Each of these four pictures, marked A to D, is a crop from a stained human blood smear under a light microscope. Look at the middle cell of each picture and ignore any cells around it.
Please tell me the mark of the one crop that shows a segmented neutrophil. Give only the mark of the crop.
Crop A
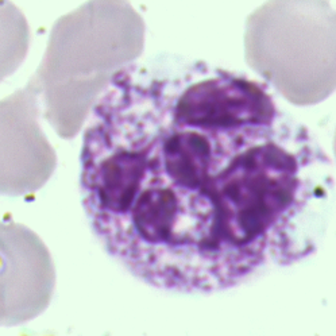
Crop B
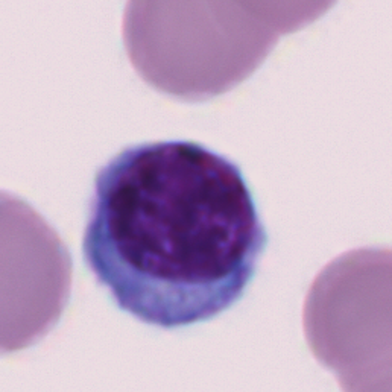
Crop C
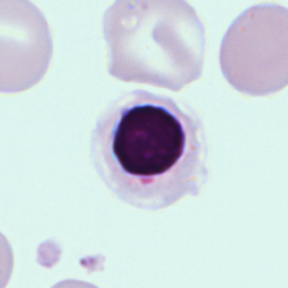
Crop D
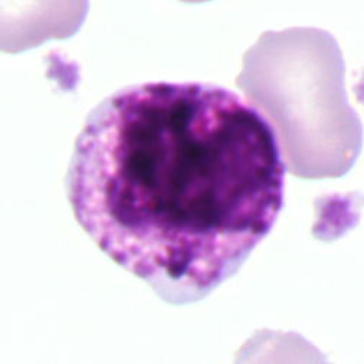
A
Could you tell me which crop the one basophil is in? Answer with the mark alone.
D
